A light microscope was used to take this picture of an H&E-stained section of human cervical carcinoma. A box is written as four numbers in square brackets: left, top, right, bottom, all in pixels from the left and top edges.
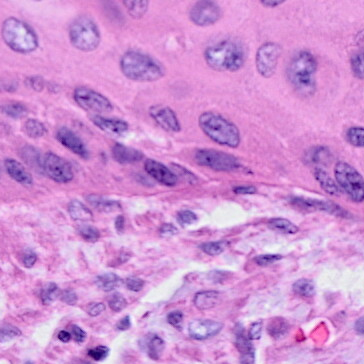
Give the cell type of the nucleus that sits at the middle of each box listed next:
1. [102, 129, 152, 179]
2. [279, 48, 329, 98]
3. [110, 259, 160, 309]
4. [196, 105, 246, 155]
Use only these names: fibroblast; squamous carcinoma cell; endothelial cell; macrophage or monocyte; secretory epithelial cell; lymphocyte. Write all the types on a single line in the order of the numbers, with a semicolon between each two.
squamous carcinoma cell; squamous carcinoma cell; fibroblast; squamous carcinoma cell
